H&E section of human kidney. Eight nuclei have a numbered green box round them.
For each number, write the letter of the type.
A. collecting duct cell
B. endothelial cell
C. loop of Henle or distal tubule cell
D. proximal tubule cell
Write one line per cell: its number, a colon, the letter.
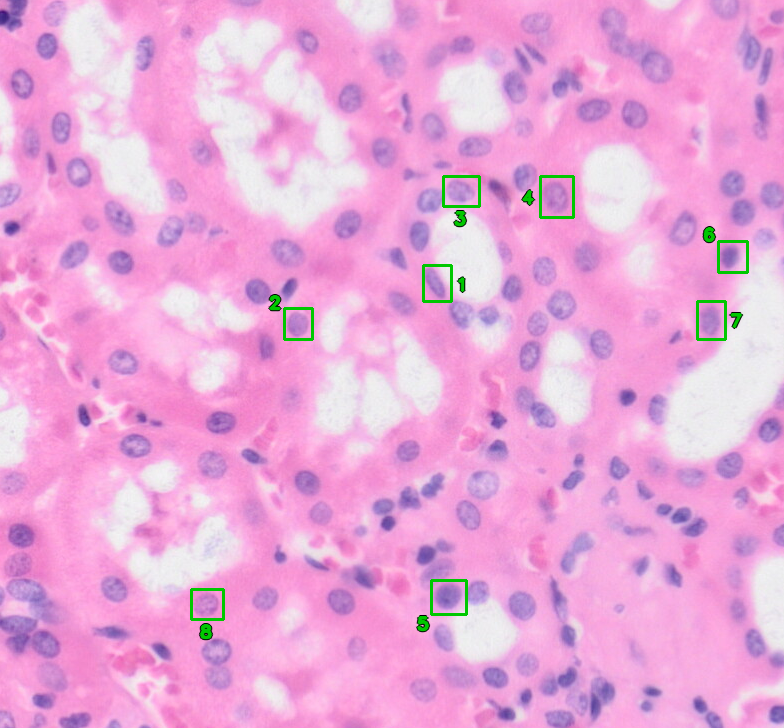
1: A
2: D
3: A
4: D
5: A
6: C
7: C
8: D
